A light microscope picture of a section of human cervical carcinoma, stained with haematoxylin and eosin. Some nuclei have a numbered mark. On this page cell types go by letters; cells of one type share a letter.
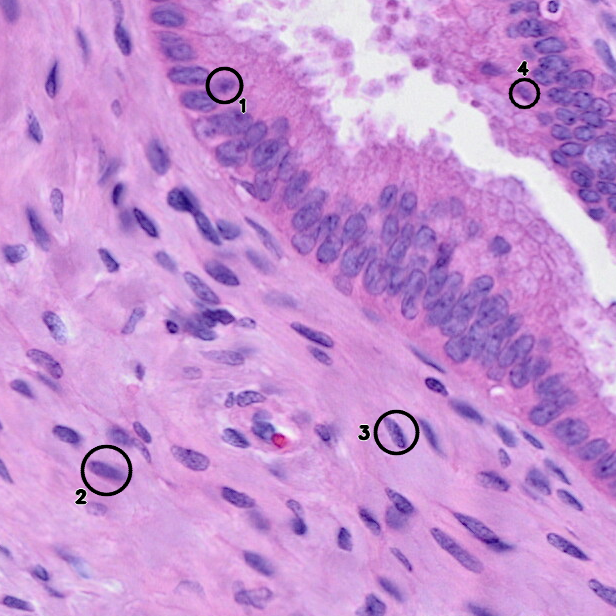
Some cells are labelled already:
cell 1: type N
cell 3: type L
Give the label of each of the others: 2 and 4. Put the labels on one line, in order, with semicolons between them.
type L; type N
